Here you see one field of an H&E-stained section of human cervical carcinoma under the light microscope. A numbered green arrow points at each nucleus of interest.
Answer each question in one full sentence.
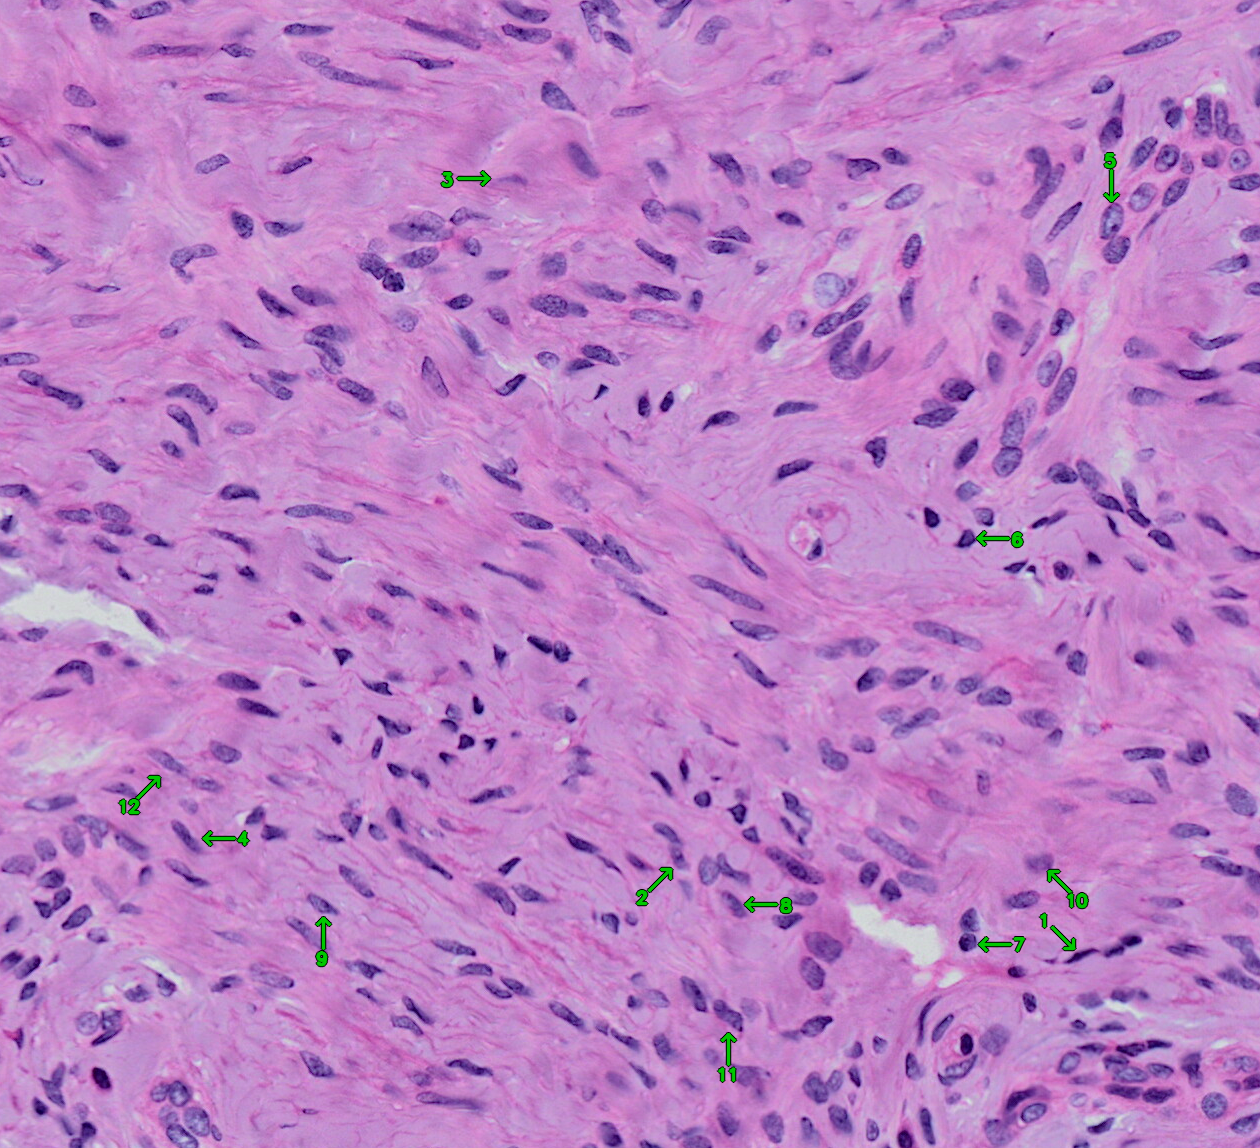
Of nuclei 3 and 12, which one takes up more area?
At about 1.5 times the area of nucleus 3, nucleus 12 is the larger of the two.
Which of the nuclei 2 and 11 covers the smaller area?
Nucleus 2 covers less area, with nucleus 11 about 2 times as large.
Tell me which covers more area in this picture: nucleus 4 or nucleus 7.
Nucleus 4 is the larger one, covering about 1.5 times the area of nucleus 7.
